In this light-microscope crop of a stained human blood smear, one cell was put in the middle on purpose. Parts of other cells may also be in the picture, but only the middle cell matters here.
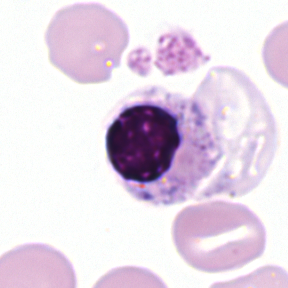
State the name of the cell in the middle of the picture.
normoblast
